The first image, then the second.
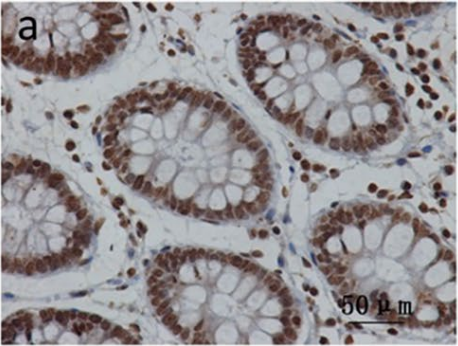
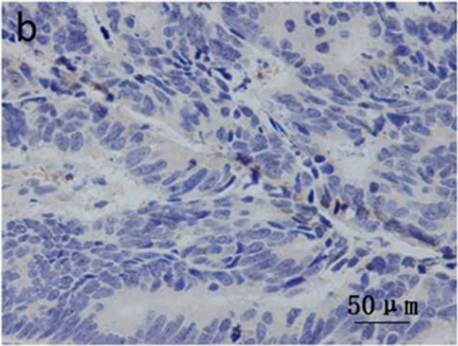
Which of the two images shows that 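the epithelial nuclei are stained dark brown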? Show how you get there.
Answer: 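Second image: epithelial nuclei are blue only, with no brown. First image: nuclei of the crypt epithelium are dark brown. On this evidence: the first image.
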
